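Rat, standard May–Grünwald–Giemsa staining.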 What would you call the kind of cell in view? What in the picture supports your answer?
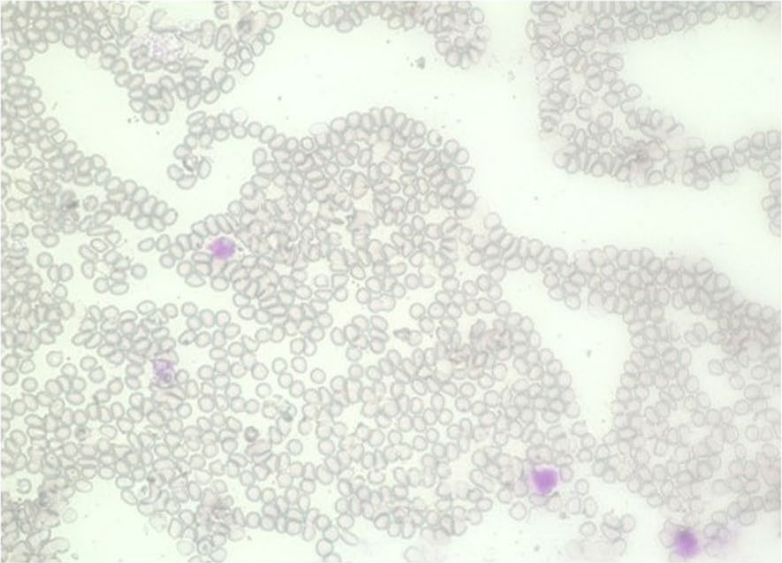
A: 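Most of the field is filled with pale, round cells of uniform size. These pale cells show no nucleus. The pale cells lie in crowded bands and chains with clear spaces between.
Answer: red blood cells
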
